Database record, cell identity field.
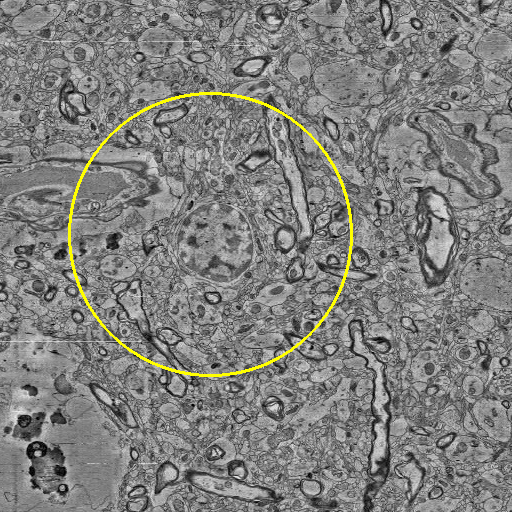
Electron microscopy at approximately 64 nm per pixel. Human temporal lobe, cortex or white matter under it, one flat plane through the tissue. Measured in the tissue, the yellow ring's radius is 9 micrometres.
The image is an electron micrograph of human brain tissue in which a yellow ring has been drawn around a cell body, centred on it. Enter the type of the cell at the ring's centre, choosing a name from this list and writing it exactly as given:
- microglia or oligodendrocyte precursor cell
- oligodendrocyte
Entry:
microglia or oligodendrocyte precursor cell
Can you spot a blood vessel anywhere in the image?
Yes, the picture includes a blood vessel.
